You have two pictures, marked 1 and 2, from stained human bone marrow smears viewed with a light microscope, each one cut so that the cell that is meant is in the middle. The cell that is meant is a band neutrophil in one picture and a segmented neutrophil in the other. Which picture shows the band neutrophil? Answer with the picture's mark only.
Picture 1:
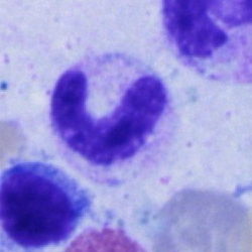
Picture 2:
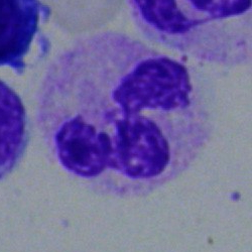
1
